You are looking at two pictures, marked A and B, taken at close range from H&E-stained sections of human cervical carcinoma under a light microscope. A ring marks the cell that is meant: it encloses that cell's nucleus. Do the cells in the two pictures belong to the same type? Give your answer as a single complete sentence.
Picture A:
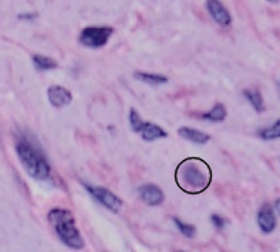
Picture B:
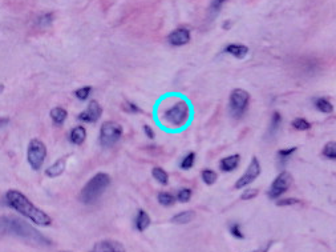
Yes, they are the same type: both are smooth muscle cells.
